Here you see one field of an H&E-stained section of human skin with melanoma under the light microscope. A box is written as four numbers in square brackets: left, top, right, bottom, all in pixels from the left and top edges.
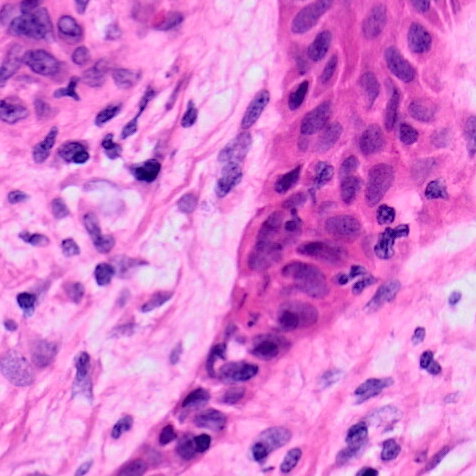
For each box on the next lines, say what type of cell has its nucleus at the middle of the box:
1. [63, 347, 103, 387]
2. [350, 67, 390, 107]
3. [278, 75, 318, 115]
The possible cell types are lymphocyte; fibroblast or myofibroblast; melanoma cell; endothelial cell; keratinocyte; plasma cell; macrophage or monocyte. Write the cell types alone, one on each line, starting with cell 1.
fibroblast or myofibroblast
keratinocyte
keratinocyte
